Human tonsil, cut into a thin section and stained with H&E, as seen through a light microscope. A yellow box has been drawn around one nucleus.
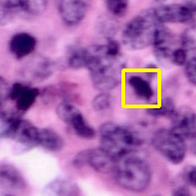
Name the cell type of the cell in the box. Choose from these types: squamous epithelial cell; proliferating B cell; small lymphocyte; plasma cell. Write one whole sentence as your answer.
As far as its identity is concerned, the cell in the box is a proliferating B cell.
